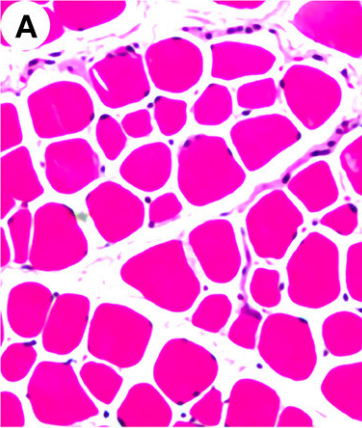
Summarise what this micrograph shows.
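This is skeletal muscle cut across, stained with hematoxylin and eosin. The muscle fibers appear as closely packed, rounded-polygonal profiles with evenly bright pink cytoplasm. Their small, dark purple nuclei are flattened against the edges of the fibers rather than lying in the middle. Thin, pale strands of connective tissue surround each fiber, and somewhat broader pale septa gather the fibers into bundles. A few small nuclei also sit in the connective tissue between fibers.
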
